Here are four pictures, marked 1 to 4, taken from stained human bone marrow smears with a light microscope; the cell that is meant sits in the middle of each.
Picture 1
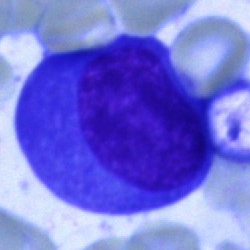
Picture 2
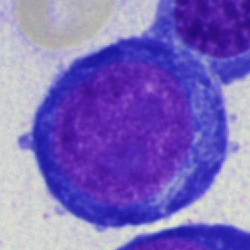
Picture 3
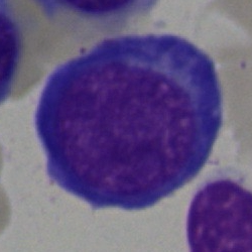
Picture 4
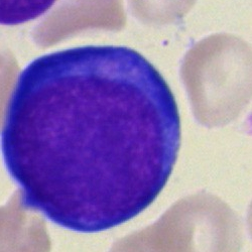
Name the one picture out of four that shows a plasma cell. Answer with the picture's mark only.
1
